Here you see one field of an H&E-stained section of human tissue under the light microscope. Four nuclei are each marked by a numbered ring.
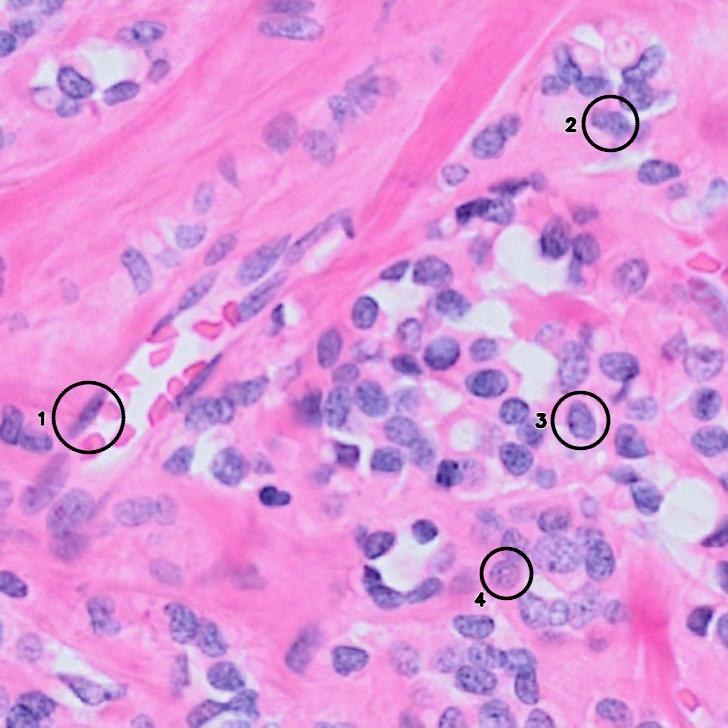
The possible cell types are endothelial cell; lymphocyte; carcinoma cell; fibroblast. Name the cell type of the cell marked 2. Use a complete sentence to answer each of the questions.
The cell indicated by marker 2 is a carcinoma cell in this section.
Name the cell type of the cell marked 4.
The cell pointed out by number 4 is a carcinoma cell.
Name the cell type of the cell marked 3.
It is as a carcinoma cell that the cell numbered 3 is identified.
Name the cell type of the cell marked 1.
The nucleus labelled 1 belongs to an endothelial cell.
